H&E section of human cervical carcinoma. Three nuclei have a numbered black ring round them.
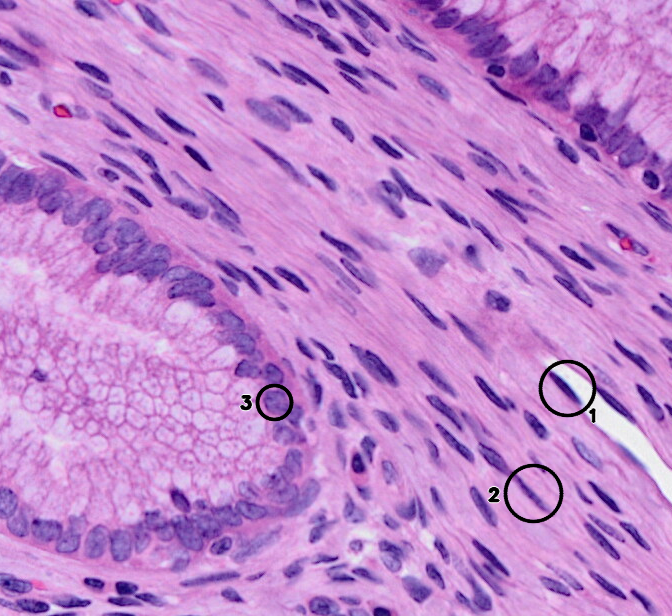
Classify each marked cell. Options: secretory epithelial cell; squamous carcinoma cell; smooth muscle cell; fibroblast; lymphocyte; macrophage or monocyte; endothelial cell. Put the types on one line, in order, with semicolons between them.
endothelial cell; fibroblast; secretory epithelial cell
